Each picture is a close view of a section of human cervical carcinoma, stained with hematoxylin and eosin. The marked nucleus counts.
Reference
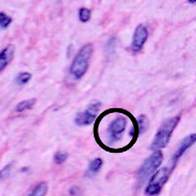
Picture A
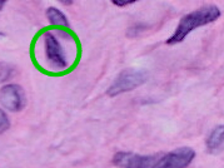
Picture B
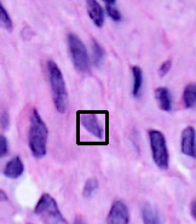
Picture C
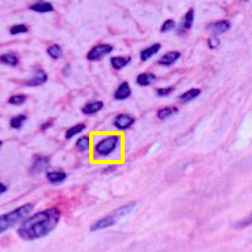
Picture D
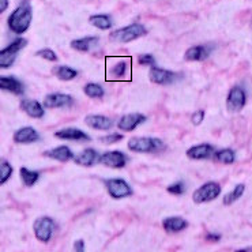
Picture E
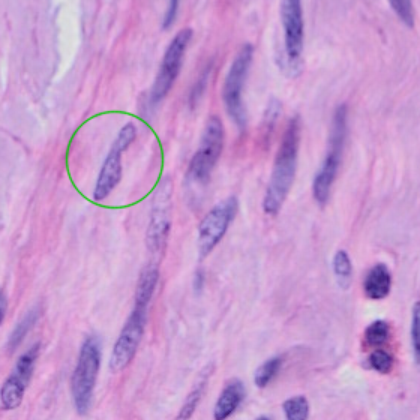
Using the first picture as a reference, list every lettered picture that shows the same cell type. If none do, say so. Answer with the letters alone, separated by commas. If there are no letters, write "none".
C, D, E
